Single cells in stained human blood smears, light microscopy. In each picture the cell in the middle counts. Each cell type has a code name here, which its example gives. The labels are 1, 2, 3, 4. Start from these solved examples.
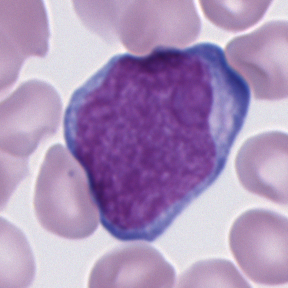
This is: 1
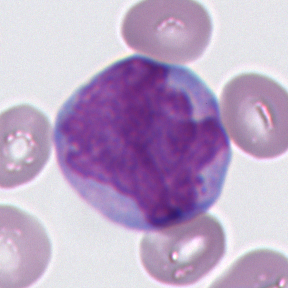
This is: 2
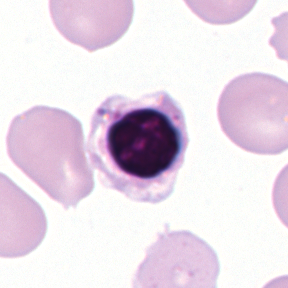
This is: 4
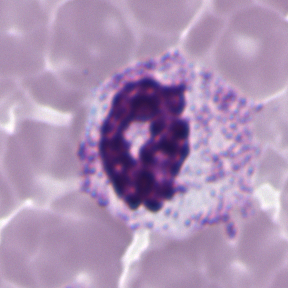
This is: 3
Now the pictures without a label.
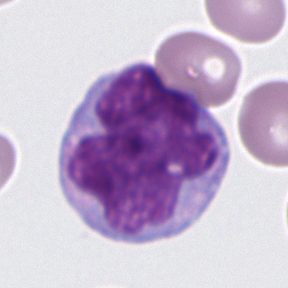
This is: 2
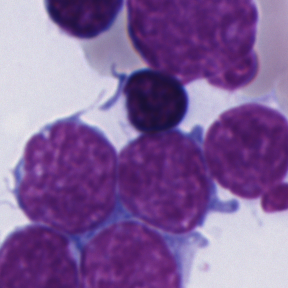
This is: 1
